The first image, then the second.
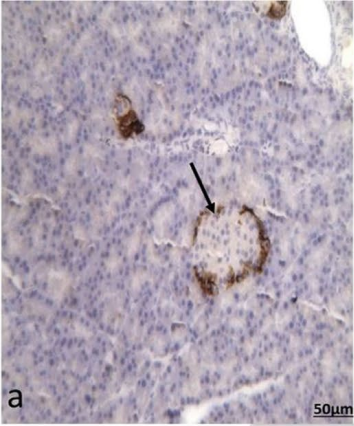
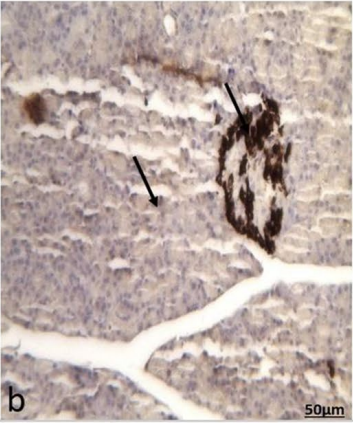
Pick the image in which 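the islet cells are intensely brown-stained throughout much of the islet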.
the second image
